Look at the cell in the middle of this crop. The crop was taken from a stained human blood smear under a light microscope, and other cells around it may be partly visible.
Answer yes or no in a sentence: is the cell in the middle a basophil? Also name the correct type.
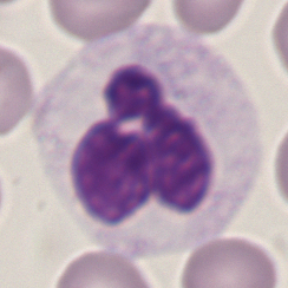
No, the middle cell is classified as a segmented neutrophil instead of a basophil.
